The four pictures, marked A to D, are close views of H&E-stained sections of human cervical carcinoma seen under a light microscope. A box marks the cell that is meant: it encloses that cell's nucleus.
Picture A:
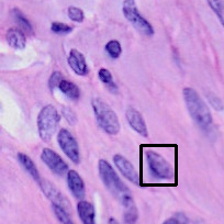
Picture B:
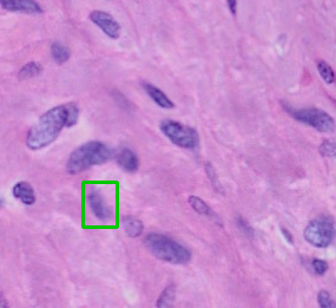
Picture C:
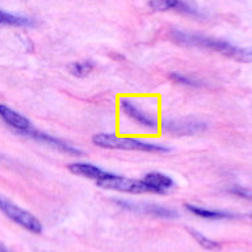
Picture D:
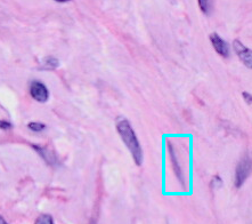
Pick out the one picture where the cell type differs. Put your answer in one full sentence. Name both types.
The others show fibroblasts, but picture C shows a smooth muscle cell.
